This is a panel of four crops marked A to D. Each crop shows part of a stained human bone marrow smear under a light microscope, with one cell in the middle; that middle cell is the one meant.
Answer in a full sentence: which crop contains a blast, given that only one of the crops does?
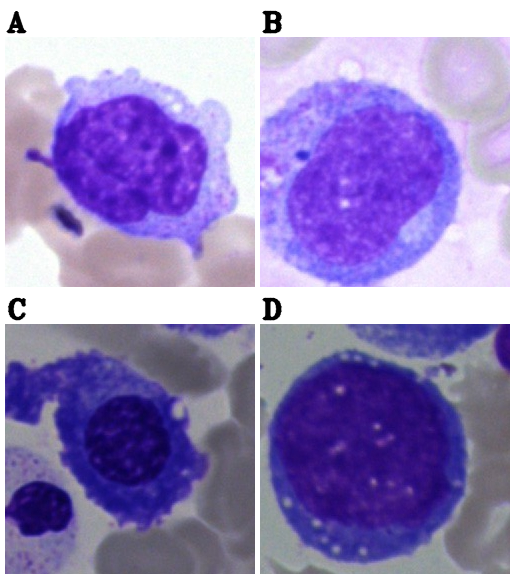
The sole crop showing a blast is crop D.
